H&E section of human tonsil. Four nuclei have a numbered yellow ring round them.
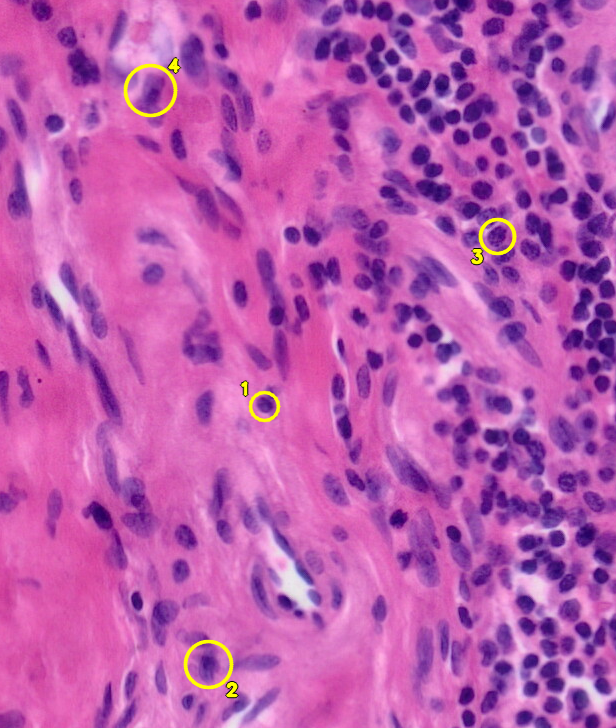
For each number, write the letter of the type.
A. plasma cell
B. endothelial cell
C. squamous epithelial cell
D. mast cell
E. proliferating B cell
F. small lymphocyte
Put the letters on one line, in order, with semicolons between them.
D; B; A; B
